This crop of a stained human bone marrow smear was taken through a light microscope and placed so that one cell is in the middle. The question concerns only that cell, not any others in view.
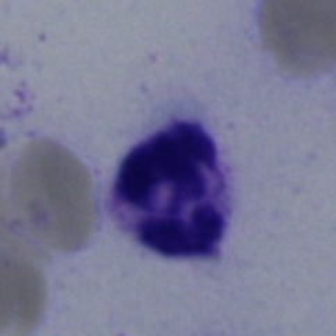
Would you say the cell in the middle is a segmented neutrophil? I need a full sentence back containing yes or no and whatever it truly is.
Yes, the cell that the crop is centred on is a segmented neutrophil.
